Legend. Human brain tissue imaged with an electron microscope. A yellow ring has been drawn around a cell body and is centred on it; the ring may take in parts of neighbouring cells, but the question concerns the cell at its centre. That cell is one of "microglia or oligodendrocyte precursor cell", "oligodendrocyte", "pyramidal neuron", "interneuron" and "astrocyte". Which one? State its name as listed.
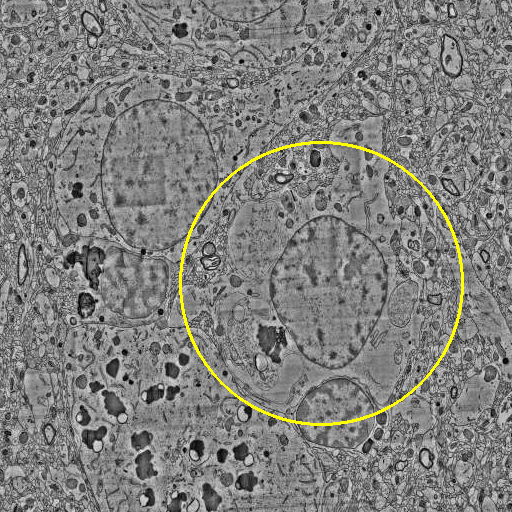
astrocyte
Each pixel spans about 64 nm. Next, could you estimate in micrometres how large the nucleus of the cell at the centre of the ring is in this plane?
About 10 micrometres by about 7 micrometres in this plane.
